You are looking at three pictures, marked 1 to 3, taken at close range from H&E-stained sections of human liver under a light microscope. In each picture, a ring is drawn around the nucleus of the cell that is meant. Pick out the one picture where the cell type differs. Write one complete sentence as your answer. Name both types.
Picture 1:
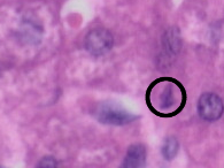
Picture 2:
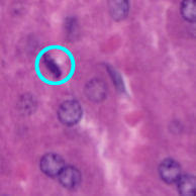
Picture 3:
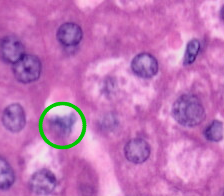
Picture 3 is the odd one out: it shows an endothelial cell, while the others show “fibroblasts or stellate cells”.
